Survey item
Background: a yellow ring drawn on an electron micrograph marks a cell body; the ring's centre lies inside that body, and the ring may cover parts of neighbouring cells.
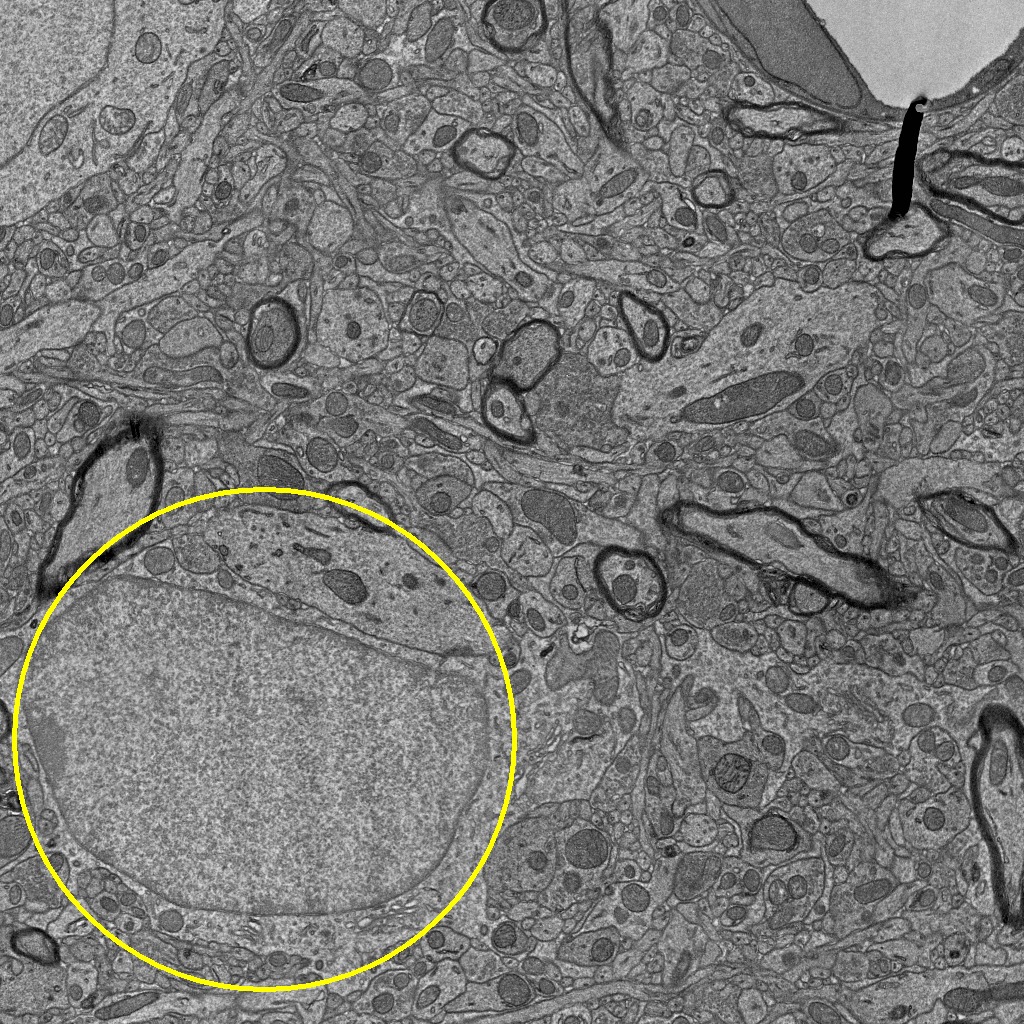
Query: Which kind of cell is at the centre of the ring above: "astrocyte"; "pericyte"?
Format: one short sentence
The cell in the middle of the ring is an astrocyte.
